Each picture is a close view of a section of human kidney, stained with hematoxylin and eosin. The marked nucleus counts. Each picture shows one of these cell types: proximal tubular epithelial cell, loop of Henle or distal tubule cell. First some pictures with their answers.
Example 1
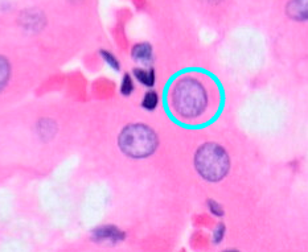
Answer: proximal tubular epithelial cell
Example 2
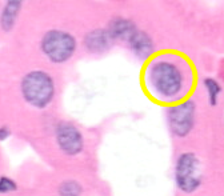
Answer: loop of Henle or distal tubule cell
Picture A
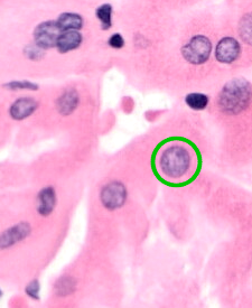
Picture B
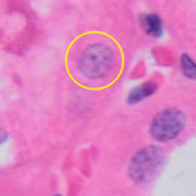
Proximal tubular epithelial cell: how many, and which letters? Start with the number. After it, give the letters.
2, namely A, B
